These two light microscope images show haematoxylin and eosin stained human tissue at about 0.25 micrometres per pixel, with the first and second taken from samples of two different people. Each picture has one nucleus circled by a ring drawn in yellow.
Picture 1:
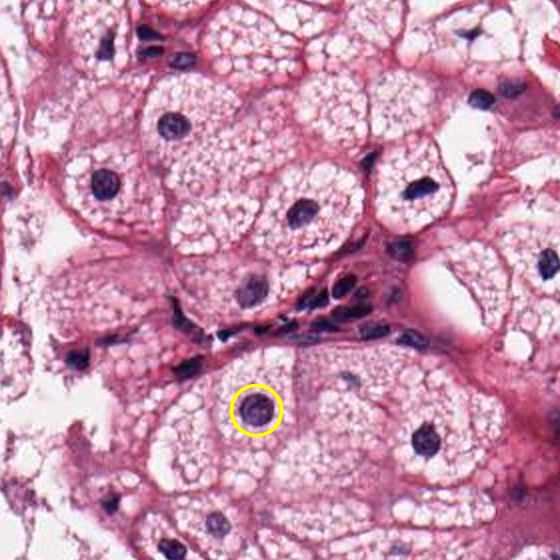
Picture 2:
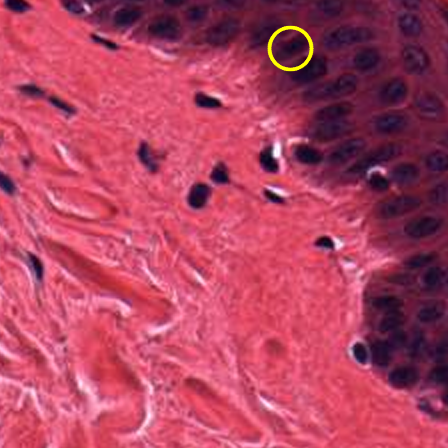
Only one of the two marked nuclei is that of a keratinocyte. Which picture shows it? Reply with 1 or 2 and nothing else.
2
